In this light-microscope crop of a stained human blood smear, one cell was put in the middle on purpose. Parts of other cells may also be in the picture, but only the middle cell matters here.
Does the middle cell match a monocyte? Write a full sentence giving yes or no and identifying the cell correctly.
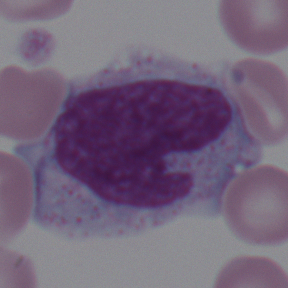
Yes, the cell that the crop is centred on is a monocyte.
